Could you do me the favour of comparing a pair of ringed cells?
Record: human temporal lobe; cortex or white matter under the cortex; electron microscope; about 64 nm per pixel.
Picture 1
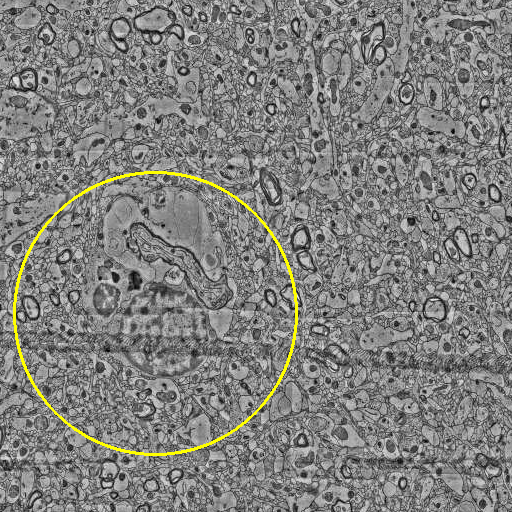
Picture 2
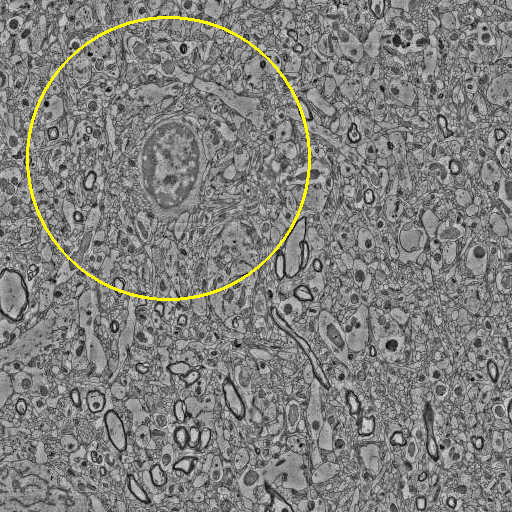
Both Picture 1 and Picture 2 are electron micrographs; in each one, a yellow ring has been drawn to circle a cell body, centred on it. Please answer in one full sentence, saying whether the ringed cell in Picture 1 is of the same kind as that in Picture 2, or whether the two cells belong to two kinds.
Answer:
The ringed cell in Picture 1 is of the same kind as that in Picture 2.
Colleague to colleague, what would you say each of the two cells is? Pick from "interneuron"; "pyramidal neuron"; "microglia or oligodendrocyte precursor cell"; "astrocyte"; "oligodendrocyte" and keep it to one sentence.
Each of the two rings is centred on an oligodendrocyte.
